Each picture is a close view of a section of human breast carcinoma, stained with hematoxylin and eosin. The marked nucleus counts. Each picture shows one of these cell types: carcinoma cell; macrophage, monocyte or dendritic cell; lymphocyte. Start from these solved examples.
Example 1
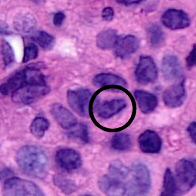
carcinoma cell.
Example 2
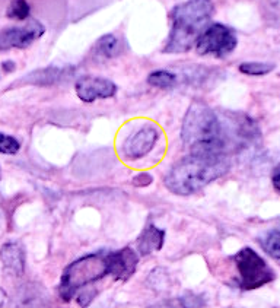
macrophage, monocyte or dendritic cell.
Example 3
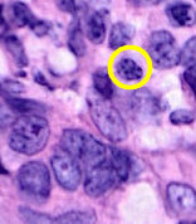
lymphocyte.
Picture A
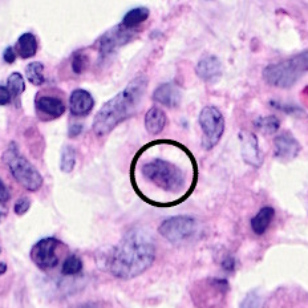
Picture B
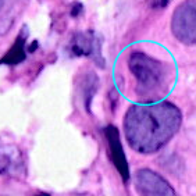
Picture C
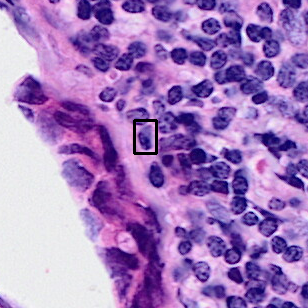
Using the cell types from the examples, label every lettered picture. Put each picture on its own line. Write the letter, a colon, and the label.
A: macrophage, monocyte or dendritic cell.
B: carcinoma cell.
C: lymphocyte.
